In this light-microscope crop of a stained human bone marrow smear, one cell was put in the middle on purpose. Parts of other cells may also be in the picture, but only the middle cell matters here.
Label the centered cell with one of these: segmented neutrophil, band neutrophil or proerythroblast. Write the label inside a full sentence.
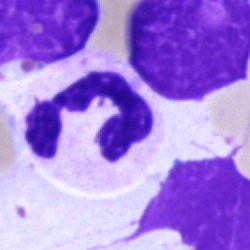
The center cell of this crop is a segmented neutrophil.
